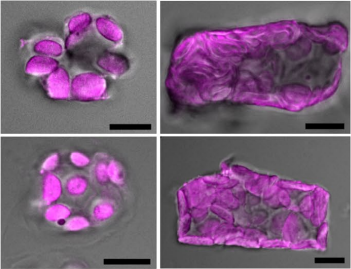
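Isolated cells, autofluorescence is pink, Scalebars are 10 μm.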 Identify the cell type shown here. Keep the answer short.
mesophyll and bundle‐sheath cells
